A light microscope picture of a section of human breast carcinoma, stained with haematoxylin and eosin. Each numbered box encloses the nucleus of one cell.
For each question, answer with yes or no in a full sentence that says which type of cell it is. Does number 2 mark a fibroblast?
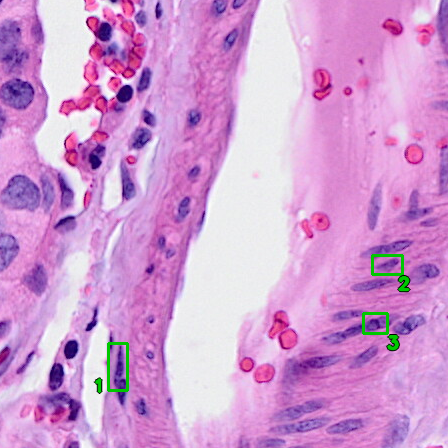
No, it's not a fibroblast at number 2; that cell is an endothelial cell.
